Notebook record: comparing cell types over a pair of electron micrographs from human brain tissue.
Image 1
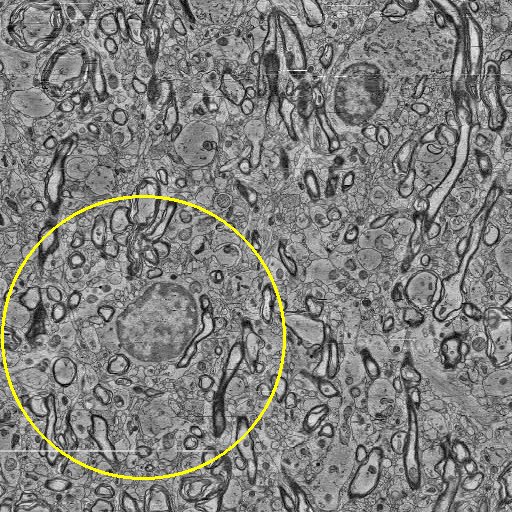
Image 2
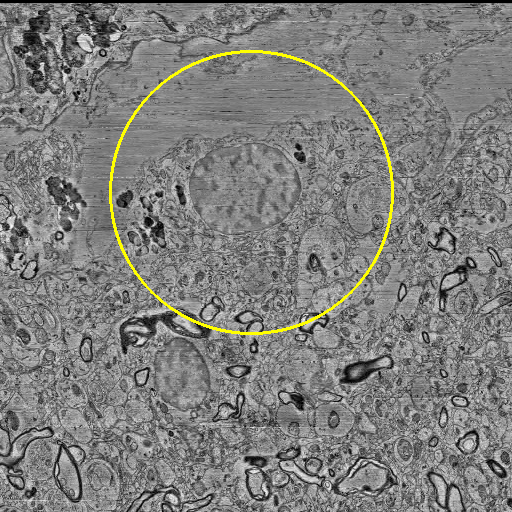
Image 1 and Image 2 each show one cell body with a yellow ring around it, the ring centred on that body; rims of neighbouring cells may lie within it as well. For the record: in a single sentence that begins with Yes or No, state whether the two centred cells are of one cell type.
No, two cell types are found among the centred cells of Image 1 and Image 2.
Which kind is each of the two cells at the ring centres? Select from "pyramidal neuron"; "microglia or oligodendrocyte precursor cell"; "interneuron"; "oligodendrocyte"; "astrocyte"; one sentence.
The cell at the centre of the ring is an oligodendrocyte in the first picture and a microglial cell or oligodendrocyte precursor cell in the second.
